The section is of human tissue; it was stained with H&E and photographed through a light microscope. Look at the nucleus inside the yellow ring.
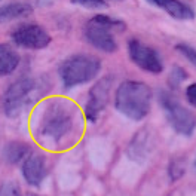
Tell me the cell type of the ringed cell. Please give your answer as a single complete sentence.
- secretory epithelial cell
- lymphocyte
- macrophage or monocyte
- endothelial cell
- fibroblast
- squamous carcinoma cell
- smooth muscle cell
In this section, the ringed cell is a secretory epithelial cell.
